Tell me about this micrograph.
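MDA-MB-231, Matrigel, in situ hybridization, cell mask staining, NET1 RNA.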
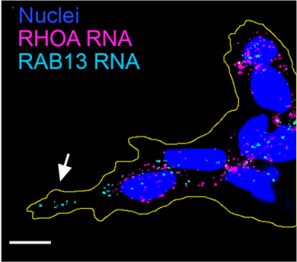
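The edge of an invasive spheroid of cultured cells, outlined in yellow, with several oval blue nuclei clustered at the right. From this cluster a leader cell sends a long, narrowing cytoplasmic protrusion towards the lower left, ending in a thin tip at the invasive front. Magenta spots are scattered mostly around and between the nuclei, while small cyan spots are found along the protrusion and gathered near its tip, away from the nuclei.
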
